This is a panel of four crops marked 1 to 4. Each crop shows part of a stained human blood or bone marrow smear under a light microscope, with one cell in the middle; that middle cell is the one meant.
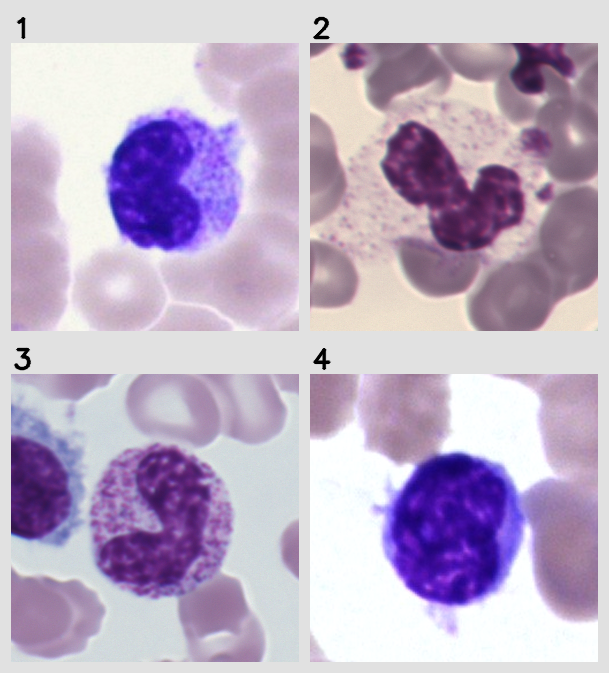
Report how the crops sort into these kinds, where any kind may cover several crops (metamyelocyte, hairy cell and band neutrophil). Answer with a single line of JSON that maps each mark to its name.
{"1": "metamyelocyte", "2": "band neutrophil", "3": "band neutrophil", "4": "hairy cell"}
